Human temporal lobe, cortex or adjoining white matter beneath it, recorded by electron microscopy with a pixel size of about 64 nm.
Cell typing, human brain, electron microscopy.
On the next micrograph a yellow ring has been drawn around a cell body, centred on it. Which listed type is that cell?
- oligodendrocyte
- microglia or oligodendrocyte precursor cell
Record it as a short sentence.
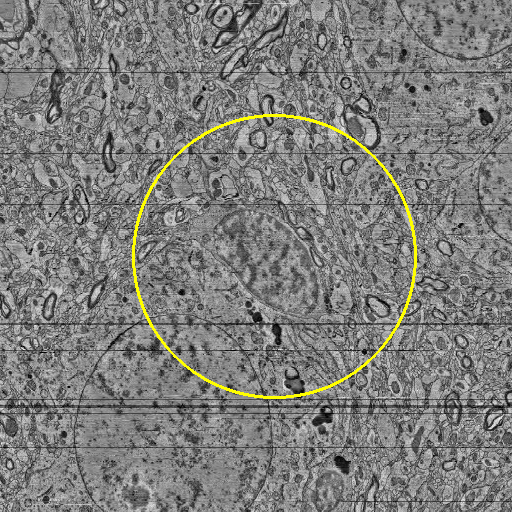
The cell body in the ring's centre belongs to an oligodendrocyte.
